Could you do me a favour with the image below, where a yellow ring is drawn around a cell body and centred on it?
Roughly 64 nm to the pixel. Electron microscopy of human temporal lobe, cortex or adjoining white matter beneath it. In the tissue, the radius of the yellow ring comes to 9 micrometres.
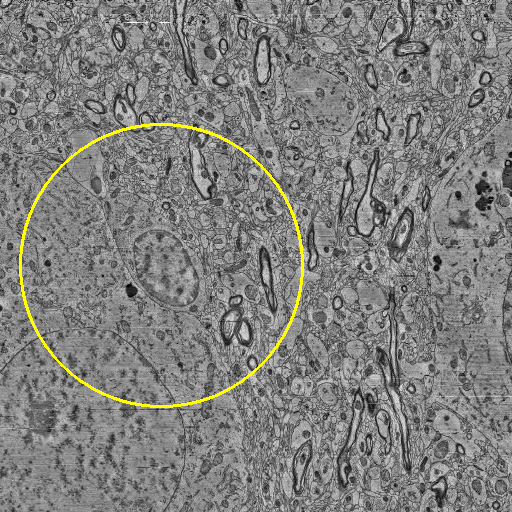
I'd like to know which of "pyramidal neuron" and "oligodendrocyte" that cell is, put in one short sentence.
The cell at the ring's centre is an oligodendrocyte.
